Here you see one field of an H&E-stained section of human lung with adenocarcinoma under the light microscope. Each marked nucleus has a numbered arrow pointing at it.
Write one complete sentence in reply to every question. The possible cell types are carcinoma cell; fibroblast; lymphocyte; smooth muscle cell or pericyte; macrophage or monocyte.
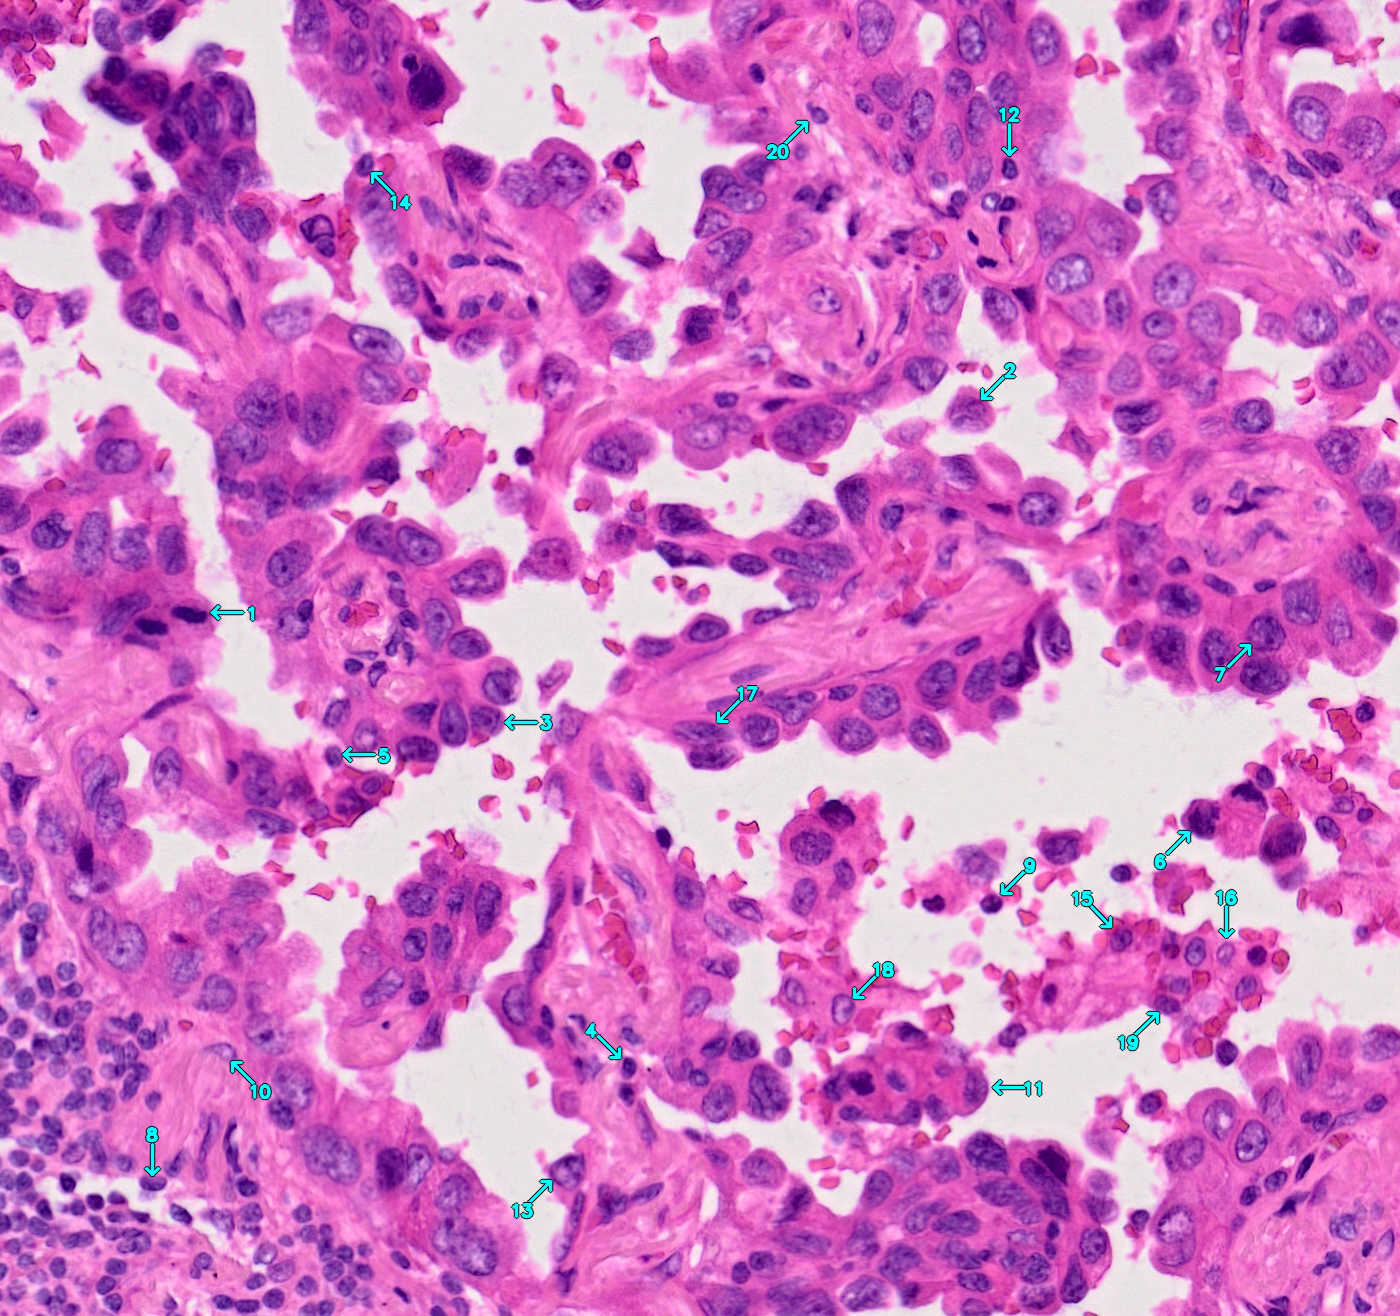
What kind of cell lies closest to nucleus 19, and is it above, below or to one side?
The nearest nucleus is that of a macrophage or monocyte and lies above and to the right of nucleus 19.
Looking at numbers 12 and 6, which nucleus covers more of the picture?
Nucleus 6 covers more area, about 3 times as much as nucleus 12.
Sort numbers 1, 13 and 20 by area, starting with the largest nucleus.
The nuclei rank 13, 1, 20, from largest to smallest.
